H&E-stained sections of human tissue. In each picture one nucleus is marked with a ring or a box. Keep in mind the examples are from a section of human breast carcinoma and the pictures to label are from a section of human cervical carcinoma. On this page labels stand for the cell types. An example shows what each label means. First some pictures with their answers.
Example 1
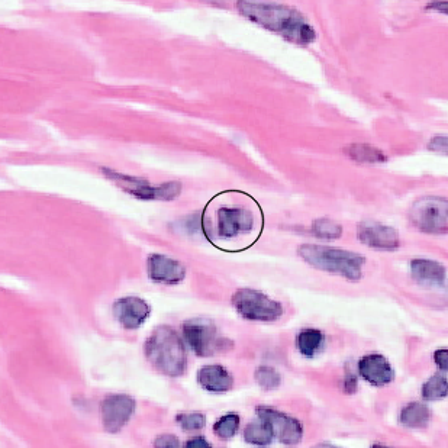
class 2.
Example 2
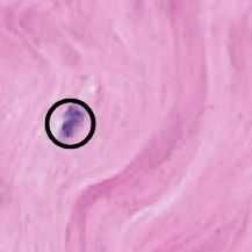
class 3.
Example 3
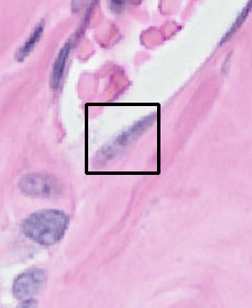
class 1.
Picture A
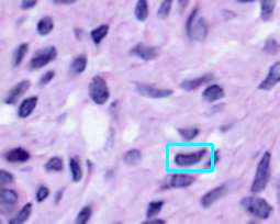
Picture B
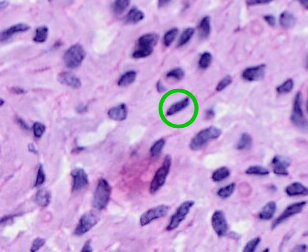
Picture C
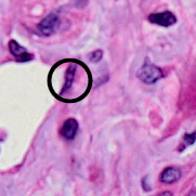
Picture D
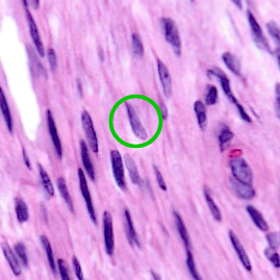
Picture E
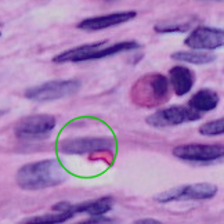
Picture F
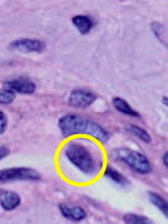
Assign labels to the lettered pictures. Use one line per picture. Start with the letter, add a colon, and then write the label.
A: class 3.
B: class 3.
C: class 1.
D: class 3.
E: class 1.
F: class 1.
